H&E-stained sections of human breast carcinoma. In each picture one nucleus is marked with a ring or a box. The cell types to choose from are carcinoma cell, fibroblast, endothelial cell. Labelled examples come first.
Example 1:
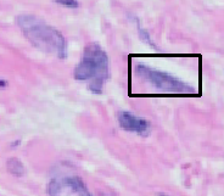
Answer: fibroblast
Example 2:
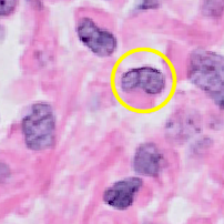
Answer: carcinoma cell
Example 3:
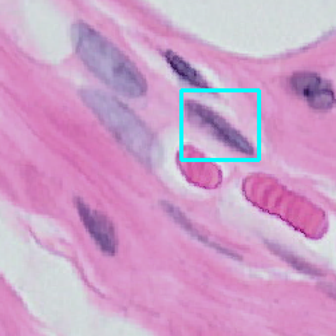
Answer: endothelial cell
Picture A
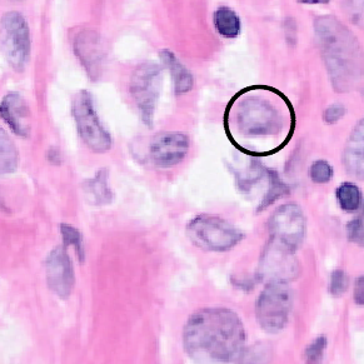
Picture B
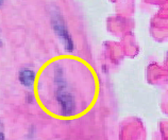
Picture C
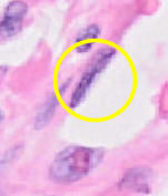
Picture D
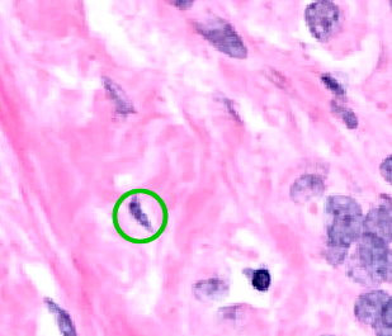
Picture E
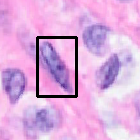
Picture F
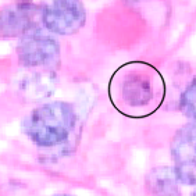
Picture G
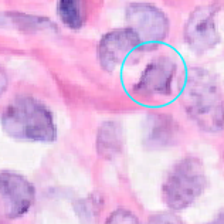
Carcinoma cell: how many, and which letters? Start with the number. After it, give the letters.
3, namely A, F, G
